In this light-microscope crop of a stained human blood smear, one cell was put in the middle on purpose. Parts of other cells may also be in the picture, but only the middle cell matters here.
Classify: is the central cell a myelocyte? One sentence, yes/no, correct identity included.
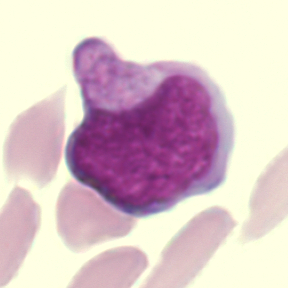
No, the central cell qualifies as an atypical promyelocyte rather than as a myelocyte.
